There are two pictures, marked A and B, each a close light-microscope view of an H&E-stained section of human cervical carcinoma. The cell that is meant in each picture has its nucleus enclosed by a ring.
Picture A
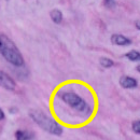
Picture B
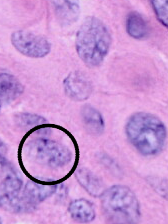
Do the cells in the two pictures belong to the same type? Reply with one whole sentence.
No; the cell in picture A is a smooth muscle cell, while the one in picture B is a squamous carcinoma cell.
